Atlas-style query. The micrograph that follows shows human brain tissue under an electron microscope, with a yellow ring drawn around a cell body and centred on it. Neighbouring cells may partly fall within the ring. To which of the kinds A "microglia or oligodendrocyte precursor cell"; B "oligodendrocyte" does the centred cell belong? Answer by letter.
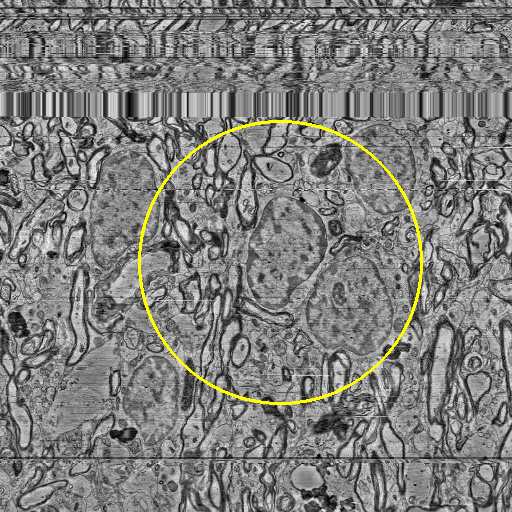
A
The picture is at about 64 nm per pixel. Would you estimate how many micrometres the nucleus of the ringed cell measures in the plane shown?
The nucleus is approximately 7 micrometers long by 5 micrometers wide in this plane.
